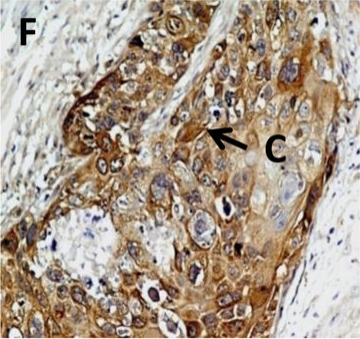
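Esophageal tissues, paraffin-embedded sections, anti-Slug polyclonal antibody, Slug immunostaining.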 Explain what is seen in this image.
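This is a nest of tumor cells of squamous cell carcinoma surrounded by pale fibrous stroma. The tumor cells are large and pleomorphic, with big irregular nuclei, some very large and bizarre, and visible nucleoli. Their abundant cytoplasm is stained brown, darkest at the edge of the nest, and some nuclei are also brownish. Clear spaces and vacuolated areas lie within the nest. The stroma at the sides holds scattered spindle-shaped cells with blue nuclei and stains little.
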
